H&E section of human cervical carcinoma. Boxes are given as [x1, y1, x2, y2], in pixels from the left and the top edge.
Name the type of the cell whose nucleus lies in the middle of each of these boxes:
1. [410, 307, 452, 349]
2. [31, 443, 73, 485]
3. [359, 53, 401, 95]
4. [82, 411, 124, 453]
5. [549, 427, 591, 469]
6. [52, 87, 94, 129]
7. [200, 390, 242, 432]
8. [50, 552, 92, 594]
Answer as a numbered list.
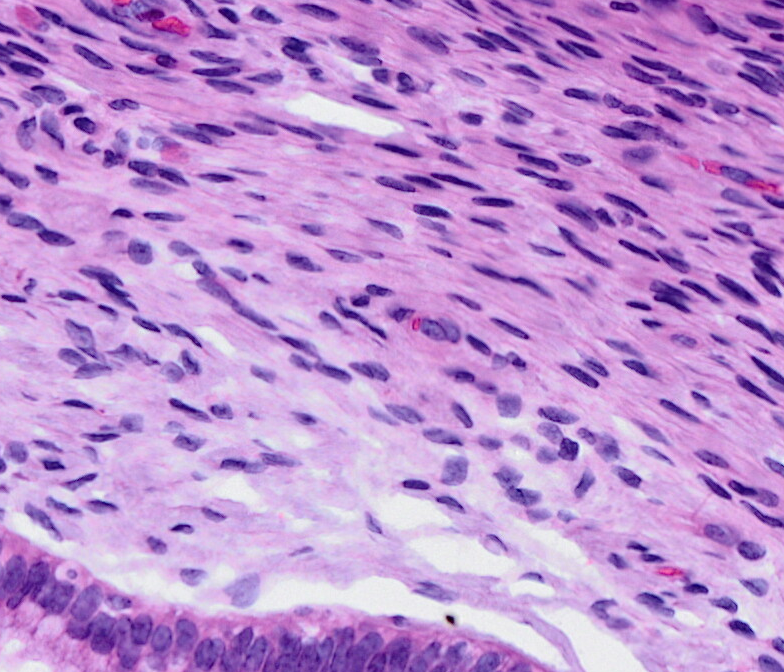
1. endothelial cell
2. fibroblast
3. lymphocyte
4. fibroblast
5. lymphocyte
6. lymphocyte
7. fibroblast
8. secretory epithelial cell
